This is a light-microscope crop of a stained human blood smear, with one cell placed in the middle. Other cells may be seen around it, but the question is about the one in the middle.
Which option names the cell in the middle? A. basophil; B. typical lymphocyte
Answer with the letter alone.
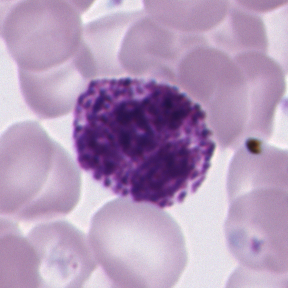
A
